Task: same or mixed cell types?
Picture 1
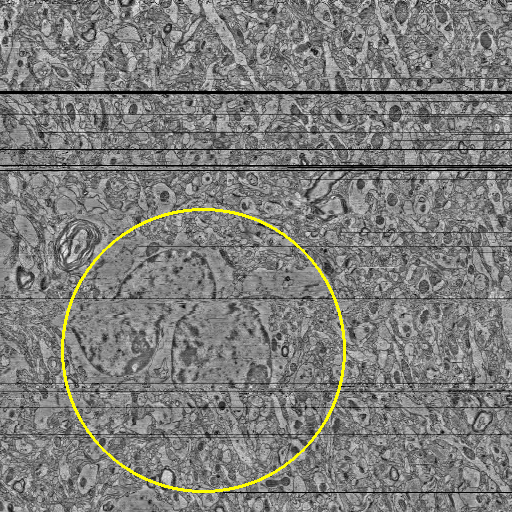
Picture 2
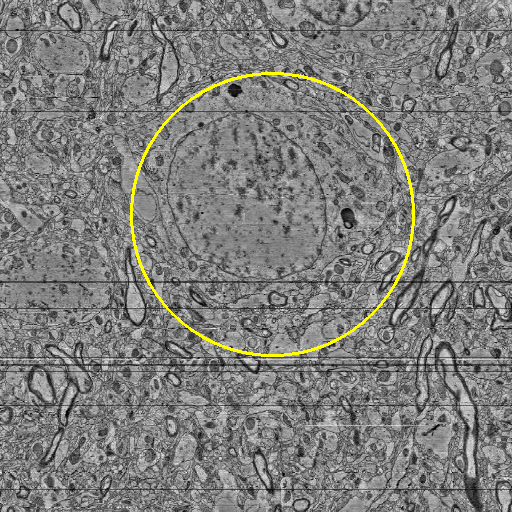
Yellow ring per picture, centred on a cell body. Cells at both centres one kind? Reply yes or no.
no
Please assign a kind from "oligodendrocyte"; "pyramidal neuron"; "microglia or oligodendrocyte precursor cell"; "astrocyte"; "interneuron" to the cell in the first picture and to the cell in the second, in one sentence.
In the first picture we have an astrocyte, and in the second, a pyramidal neuron.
